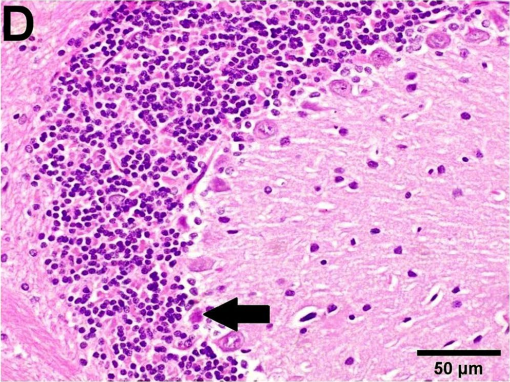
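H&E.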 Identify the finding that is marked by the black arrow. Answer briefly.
Degeneration of sporadic Purkinje cells.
